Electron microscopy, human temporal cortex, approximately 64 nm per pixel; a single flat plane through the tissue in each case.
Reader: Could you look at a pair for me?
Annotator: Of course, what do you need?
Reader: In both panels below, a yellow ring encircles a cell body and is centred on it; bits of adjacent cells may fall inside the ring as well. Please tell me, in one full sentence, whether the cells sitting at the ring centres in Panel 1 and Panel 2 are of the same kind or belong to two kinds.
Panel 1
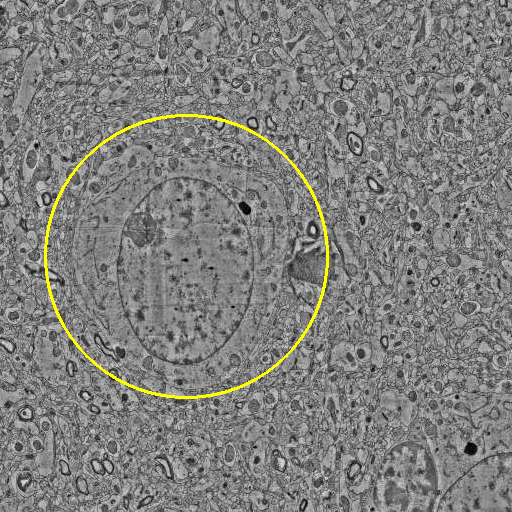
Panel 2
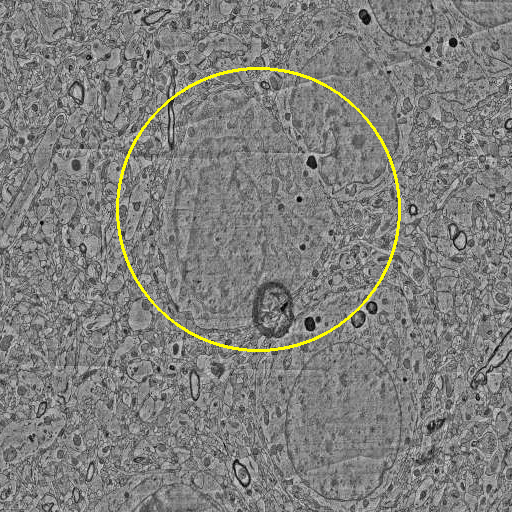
The cell at the ring's centre in Panel 1 and the one in Panel 2 belong to two kinds.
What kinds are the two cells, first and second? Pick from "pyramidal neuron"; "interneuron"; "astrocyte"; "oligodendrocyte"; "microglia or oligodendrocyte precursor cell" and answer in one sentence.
The second picture holds an interneuron in its ring, and the first holds a pyramidal neuron.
